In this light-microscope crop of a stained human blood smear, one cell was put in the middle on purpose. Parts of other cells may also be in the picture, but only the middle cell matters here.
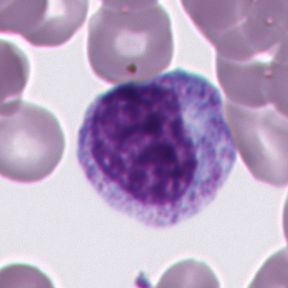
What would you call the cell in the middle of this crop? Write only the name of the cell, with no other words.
metamyelocyte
